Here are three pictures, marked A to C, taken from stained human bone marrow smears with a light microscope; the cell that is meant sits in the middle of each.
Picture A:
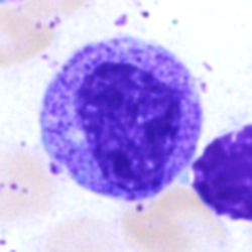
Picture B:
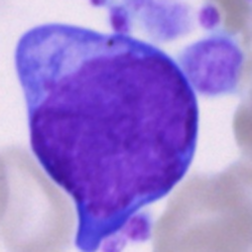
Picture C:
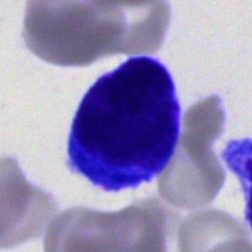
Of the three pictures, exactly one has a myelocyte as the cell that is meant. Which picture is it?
A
